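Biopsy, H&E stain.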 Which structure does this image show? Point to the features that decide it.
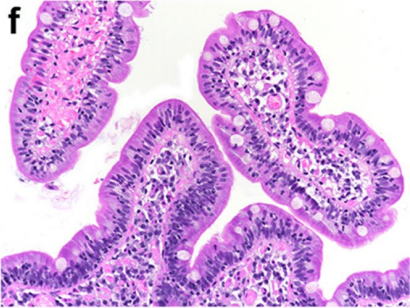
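Tall finger-like villi lined by columnar epithelium with goblet cells. Villi are not flattened. On this evidence: normal villous architecture.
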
